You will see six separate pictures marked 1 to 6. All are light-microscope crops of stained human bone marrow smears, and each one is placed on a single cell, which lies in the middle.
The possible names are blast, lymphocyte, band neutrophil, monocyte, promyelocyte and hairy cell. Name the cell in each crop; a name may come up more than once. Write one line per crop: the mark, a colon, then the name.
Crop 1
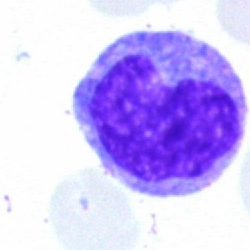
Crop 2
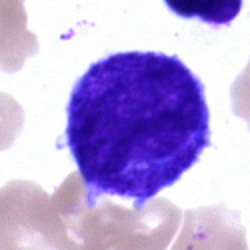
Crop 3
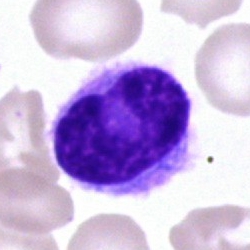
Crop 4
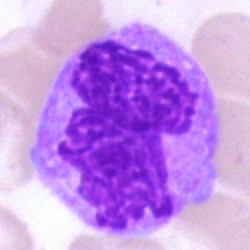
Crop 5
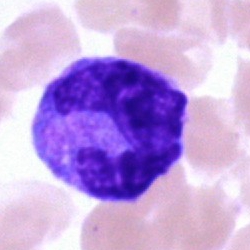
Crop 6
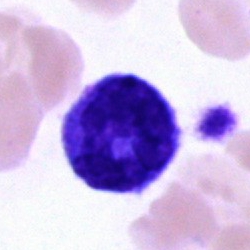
1: monocyte
2: promyelocyte
3: hairy cell
4: monocyte
5: monocyte
6: monocyte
